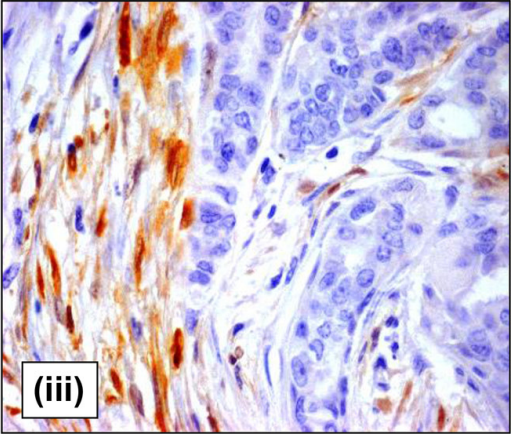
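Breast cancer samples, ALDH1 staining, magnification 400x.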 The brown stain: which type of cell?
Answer: Stromal cells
